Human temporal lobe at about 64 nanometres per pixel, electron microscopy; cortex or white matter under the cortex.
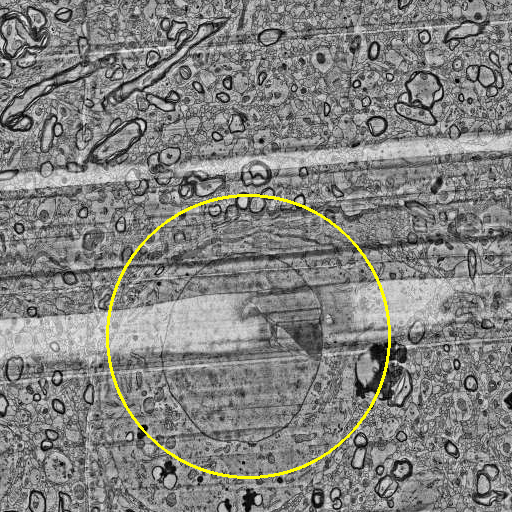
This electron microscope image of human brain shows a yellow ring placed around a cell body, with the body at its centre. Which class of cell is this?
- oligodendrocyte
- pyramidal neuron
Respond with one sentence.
The cell body at the ring's centre is a pyramidal neuron.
